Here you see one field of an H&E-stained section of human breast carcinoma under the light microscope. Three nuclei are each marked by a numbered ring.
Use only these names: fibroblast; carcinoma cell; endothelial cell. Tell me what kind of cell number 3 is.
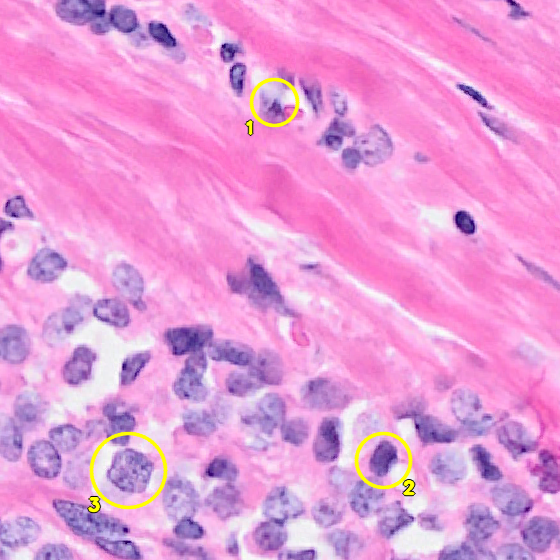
carcinoma cell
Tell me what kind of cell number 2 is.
carcinoma cell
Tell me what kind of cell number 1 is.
endothelial cell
